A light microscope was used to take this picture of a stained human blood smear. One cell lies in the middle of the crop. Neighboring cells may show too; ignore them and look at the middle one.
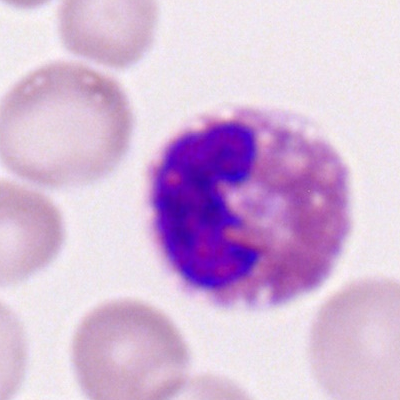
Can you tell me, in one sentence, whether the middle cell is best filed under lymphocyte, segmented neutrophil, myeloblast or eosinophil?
This crop's central cell is an eosinophil.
